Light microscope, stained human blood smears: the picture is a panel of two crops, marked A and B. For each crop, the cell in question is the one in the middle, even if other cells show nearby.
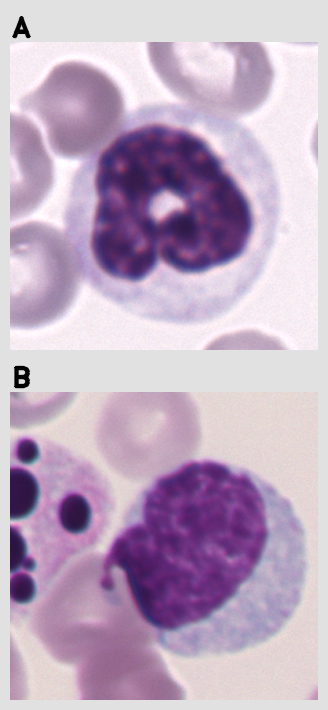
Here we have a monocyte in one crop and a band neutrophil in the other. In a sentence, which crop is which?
Crop A represents a band neutrophil, while crop B represents a monocyte.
